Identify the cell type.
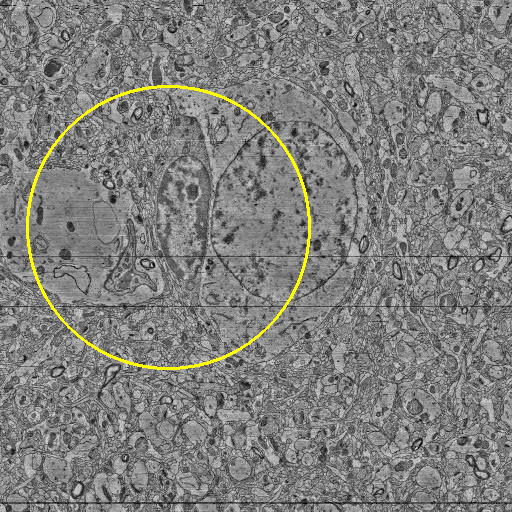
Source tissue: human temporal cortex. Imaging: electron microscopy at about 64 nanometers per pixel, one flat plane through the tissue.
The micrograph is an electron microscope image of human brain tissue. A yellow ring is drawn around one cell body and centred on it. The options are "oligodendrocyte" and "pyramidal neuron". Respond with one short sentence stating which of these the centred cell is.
The cell body in the ring belongs to an oligodendrocyte.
